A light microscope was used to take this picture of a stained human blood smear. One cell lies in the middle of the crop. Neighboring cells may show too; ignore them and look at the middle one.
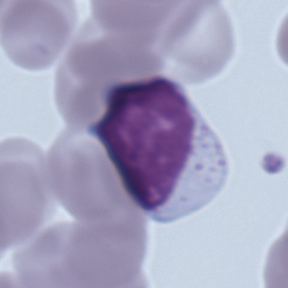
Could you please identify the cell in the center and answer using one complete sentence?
The centered cell in this crop is a large granular lymphocyte.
